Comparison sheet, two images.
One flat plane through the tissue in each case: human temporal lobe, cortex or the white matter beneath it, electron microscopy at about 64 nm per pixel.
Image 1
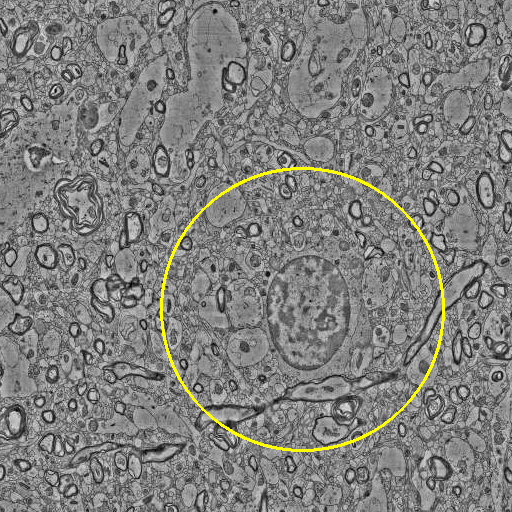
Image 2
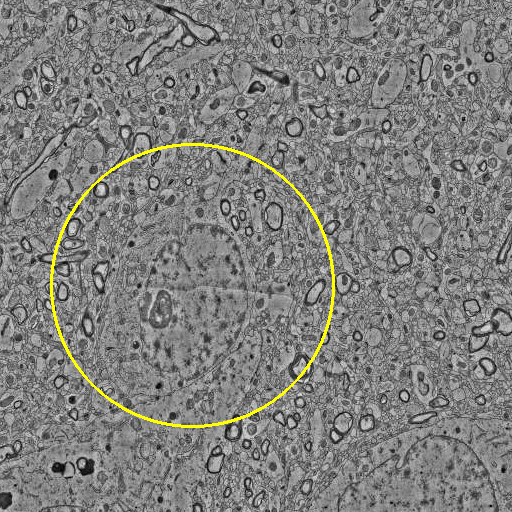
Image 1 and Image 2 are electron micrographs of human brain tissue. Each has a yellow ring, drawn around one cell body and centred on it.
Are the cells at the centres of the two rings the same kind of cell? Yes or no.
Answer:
no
